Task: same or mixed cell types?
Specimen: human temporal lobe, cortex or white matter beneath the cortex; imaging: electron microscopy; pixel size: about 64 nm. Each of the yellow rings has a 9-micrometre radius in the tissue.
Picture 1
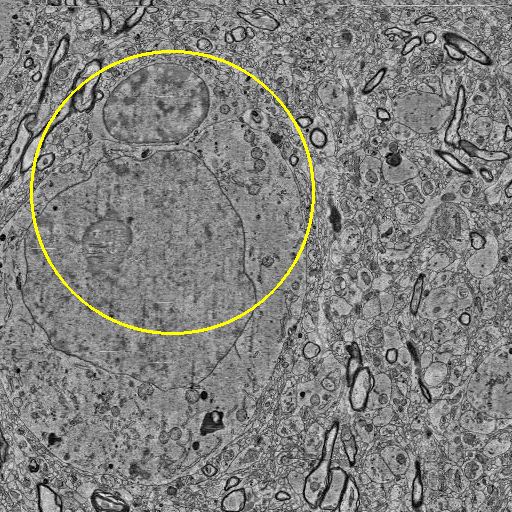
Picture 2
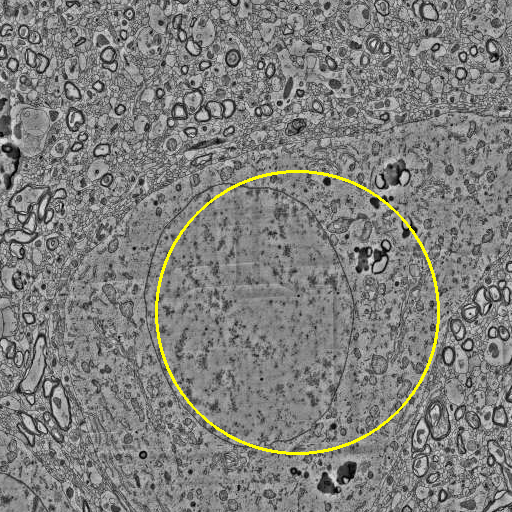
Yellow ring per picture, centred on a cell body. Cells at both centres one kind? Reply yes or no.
yes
